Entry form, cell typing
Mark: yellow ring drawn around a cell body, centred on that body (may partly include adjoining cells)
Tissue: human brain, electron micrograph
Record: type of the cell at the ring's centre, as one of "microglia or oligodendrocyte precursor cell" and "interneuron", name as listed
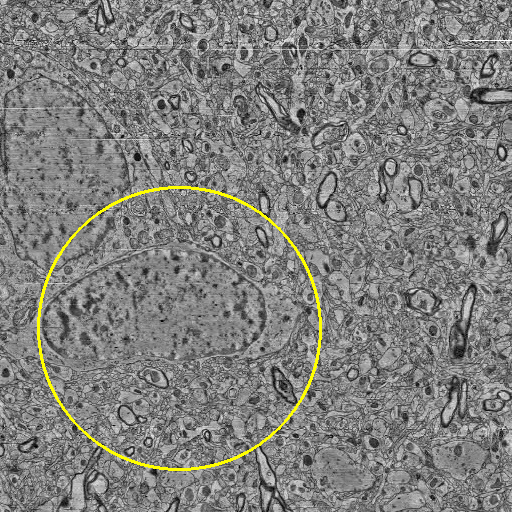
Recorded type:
microglia or oligodendrocyte precursor cell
